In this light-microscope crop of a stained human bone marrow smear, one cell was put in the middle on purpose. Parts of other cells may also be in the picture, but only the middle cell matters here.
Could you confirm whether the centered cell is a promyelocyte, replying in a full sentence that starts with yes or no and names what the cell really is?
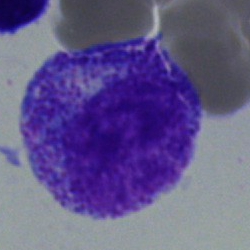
Yes, within this crop, the central cell is a promyelocyte.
